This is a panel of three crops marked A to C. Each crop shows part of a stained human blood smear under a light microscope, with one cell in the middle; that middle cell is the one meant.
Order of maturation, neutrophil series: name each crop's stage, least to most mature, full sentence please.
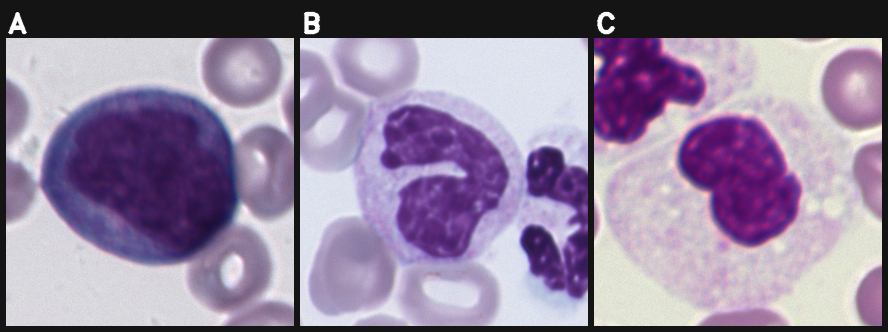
Placed in order from least to most mature, they run crop A (a promyelocyte), crop B (a band neutrophil) and crop C (a segmented neutrophil).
